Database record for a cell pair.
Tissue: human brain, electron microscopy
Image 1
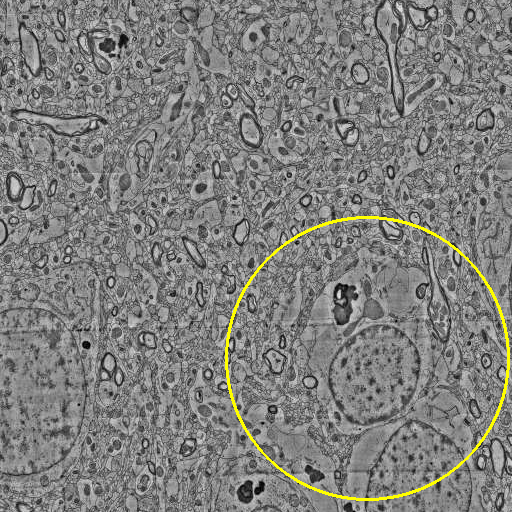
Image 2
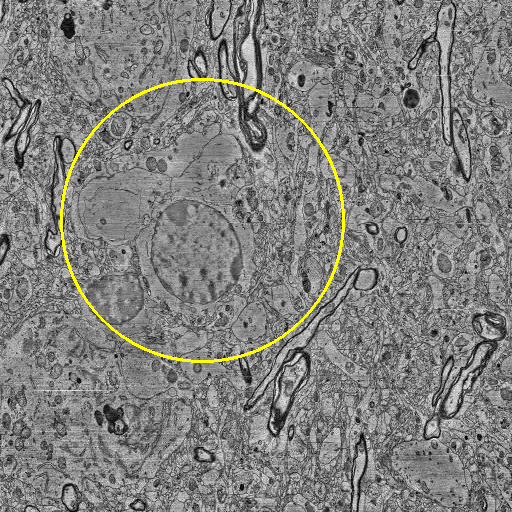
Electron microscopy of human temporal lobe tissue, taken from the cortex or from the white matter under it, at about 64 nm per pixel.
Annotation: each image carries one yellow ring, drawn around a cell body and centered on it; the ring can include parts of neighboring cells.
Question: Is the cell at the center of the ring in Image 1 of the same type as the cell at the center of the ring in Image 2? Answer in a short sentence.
No, the cells are of two types.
